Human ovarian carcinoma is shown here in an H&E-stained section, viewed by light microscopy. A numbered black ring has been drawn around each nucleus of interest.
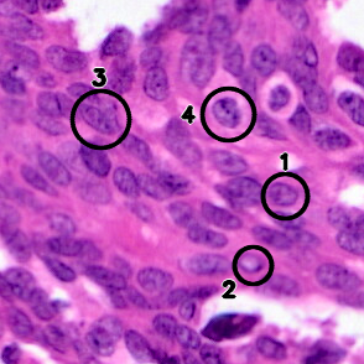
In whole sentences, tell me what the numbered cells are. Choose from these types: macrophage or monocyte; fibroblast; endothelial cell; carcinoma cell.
Cell 1 is a carcinoma cell, cell 2 is an endothelial cell, cell 3 is a carcinoma cell and cell 4 is a macrophage or monocyte.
